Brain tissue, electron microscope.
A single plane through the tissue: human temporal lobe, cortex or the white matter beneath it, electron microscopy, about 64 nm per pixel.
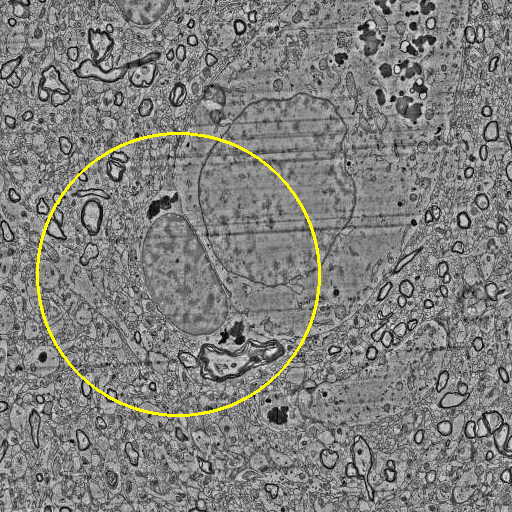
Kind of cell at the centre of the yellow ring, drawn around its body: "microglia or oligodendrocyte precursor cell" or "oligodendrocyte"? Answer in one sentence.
The ring's centre falls on an oligodendrocyte.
